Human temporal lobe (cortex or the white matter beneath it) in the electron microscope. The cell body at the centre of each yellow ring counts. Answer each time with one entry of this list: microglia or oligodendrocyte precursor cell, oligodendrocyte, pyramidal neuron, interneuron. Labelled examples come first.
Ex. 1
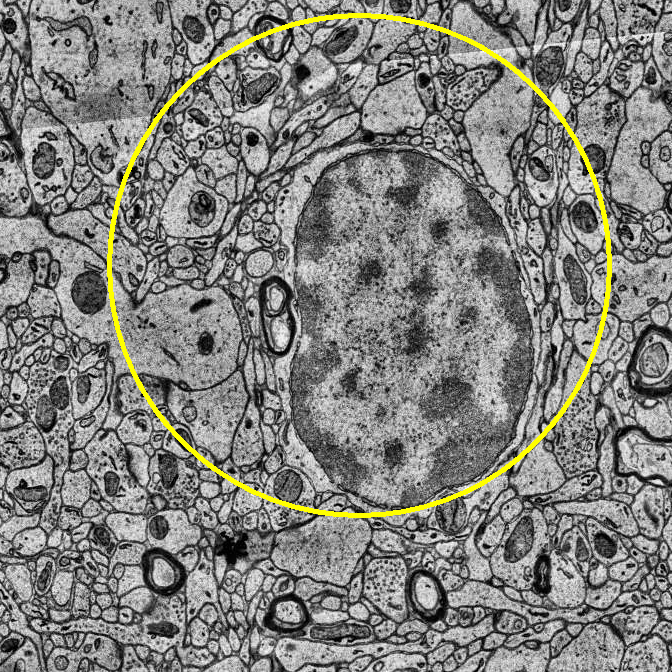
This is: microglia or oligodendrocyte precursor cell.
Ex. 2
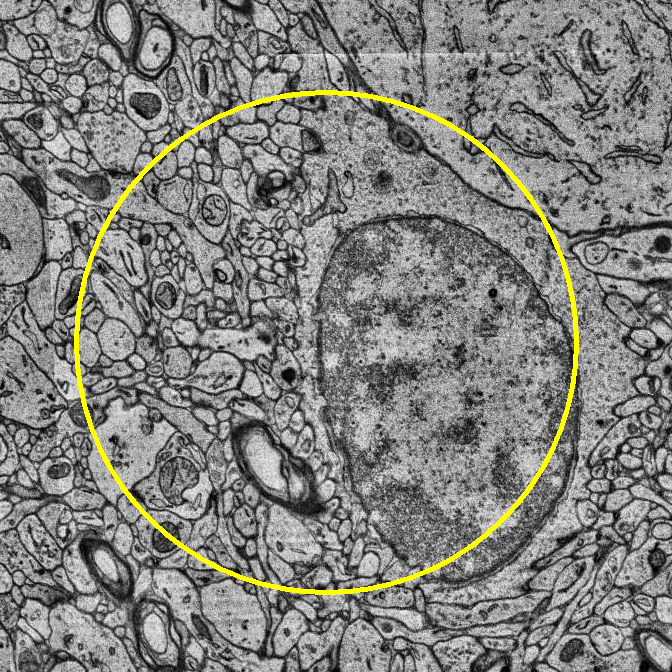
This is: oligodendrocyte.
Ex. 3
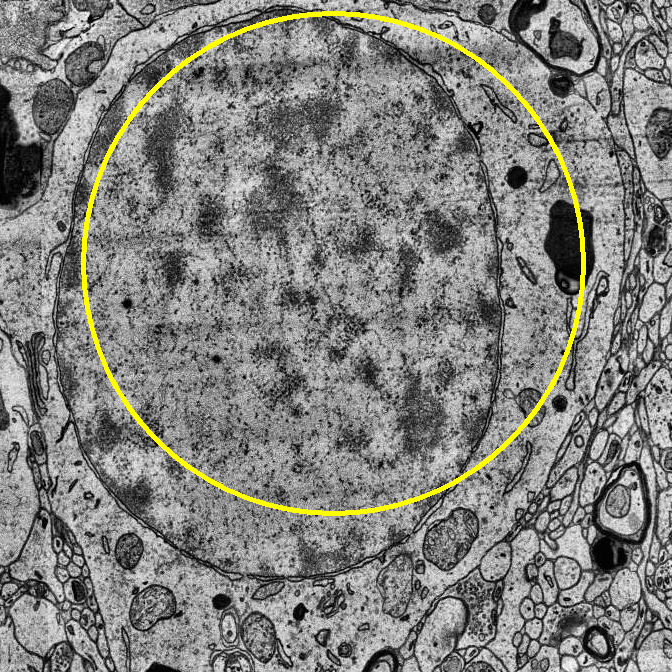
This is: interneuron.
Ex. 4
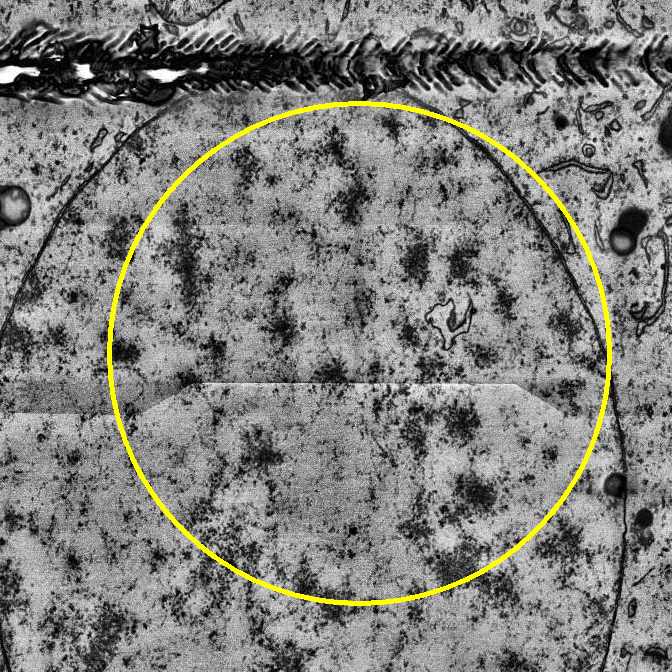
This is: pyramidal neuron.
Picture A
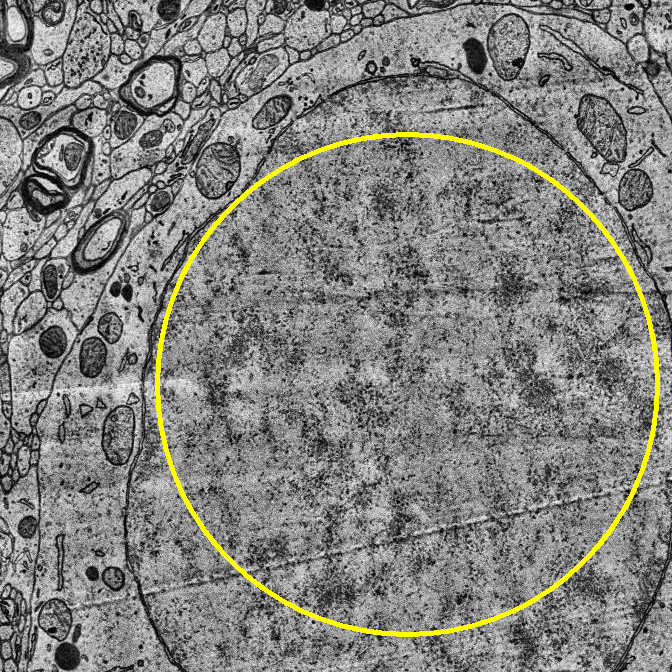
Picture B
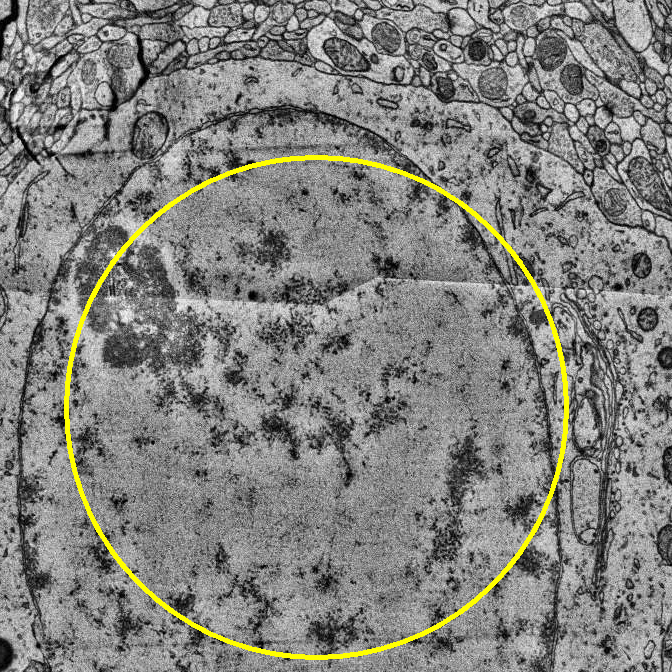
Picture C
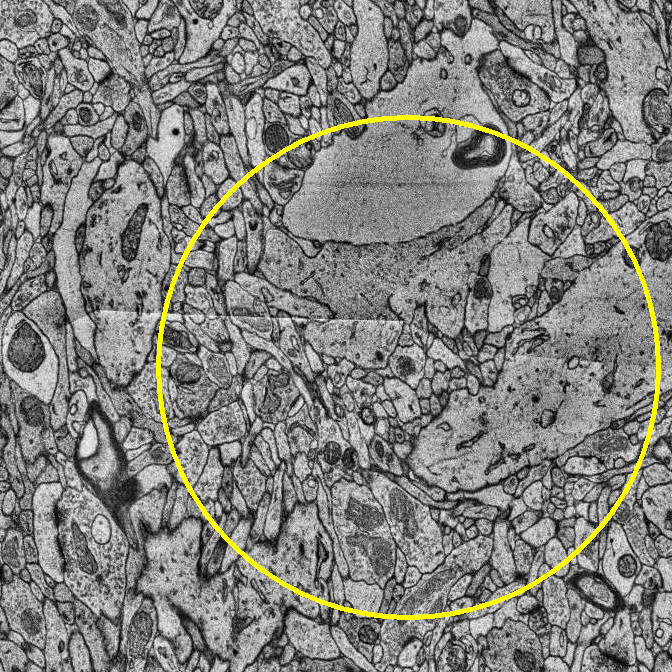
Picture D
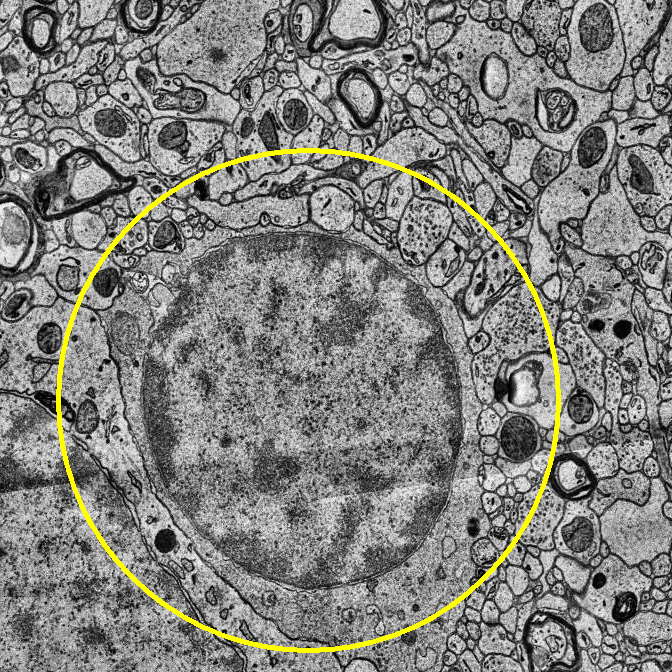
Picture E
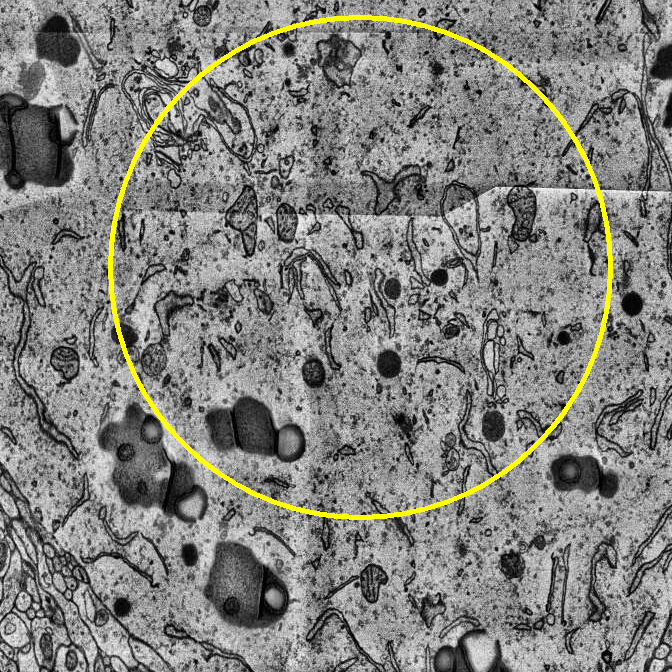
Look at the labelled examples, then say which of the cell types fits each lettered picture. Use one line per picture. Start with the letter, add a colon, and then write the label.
A: pyramidal neuron.
B: pyramidal neuron.
C: microglia or oligodendrocyte precursor cell.
D: oligodendrocyte.
E: pyramidal neuron.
